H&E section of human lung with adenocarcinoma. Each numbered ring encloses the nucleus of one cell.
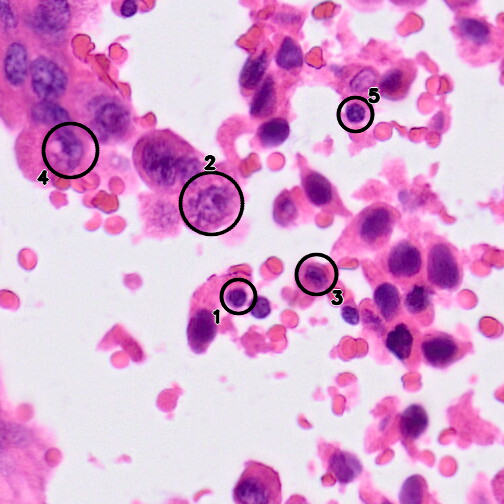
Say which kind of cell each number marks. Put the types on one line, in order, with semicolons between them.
lymphocyte; carcinoma cell; macrophage or monocyte; carcinoma cell; lymphocyte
